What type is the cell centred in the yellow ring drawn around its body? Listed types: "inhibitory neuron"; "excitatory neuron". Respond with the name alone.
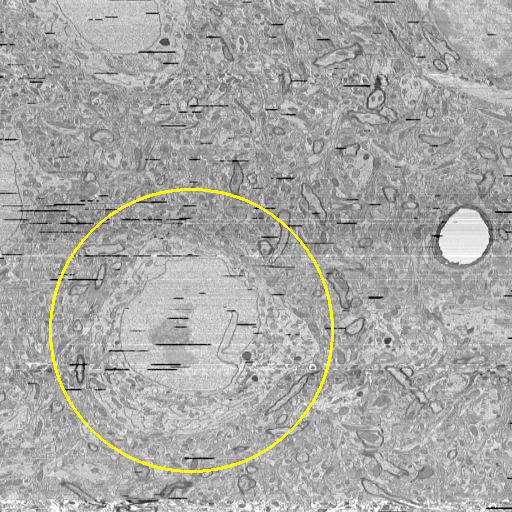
inhibitory neuron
